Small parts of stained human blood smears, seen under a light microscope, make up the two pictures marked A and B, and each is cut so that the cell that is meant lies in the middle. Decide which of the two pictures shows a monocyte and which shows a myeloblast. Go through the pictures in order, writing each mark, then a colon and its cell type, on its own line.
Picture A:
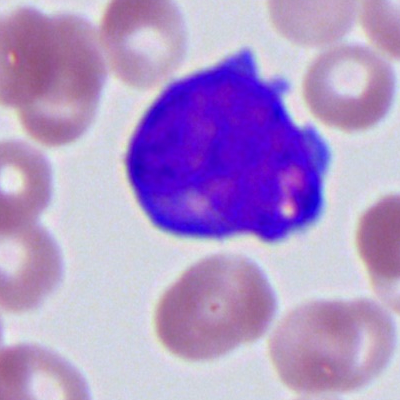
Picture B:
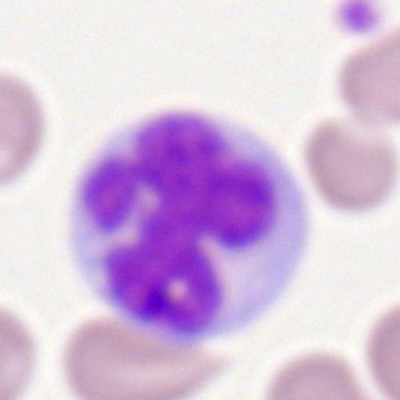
A: myeloblast
B: monocyte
